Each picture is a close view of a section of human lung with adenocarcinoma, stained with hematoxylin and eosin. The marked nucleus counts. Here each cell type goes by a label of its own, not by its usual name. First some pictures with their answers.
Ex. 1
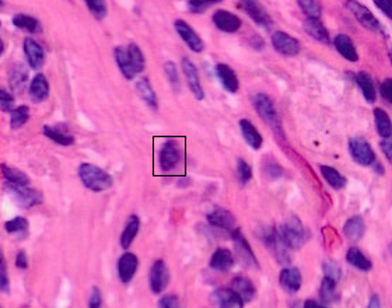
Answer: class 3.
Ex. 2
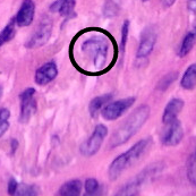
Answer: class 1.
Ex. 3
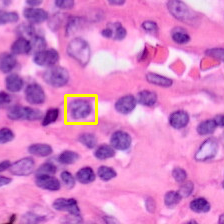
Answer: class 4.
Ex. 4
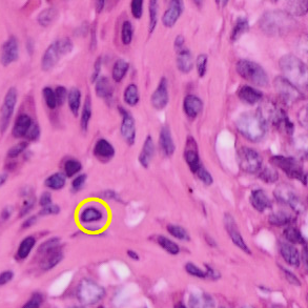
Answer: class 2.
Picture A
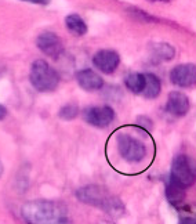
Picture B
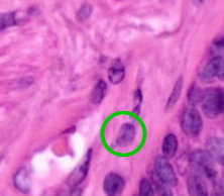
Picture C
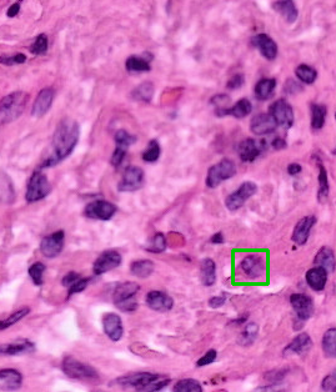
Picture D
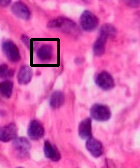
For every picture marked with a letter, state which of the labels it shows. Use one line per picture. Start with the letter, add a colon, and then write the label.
A: class 4.
B: class 1.
C: class 2.
D: class 4.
